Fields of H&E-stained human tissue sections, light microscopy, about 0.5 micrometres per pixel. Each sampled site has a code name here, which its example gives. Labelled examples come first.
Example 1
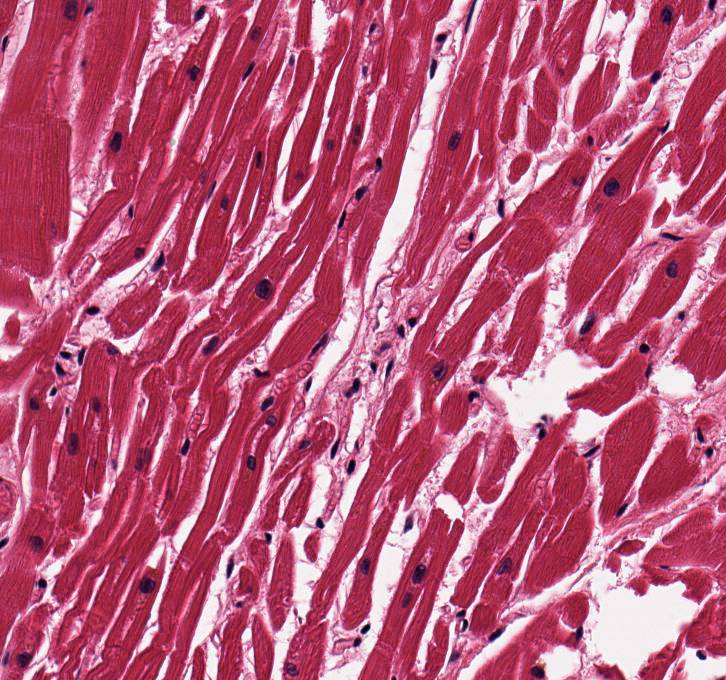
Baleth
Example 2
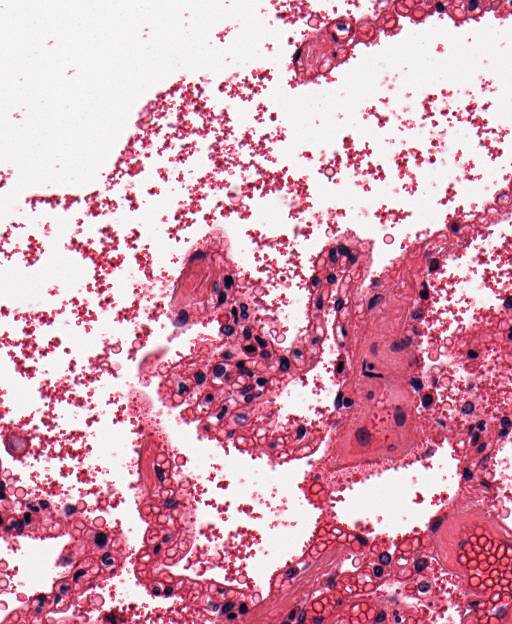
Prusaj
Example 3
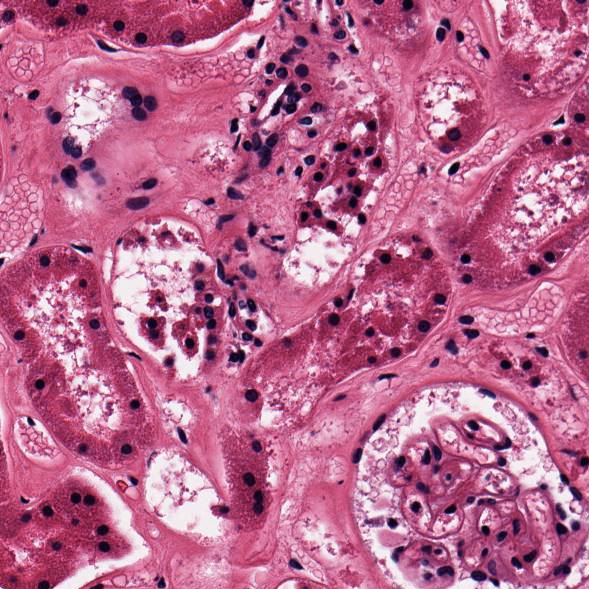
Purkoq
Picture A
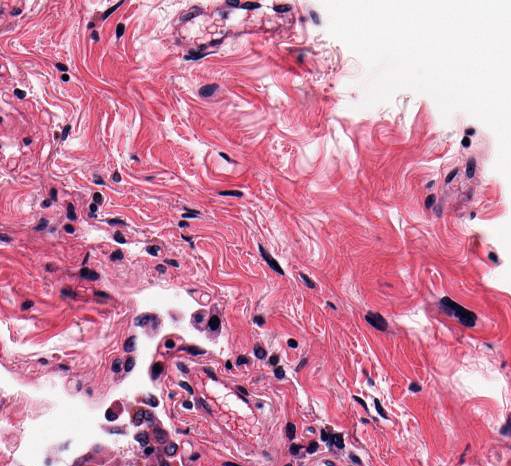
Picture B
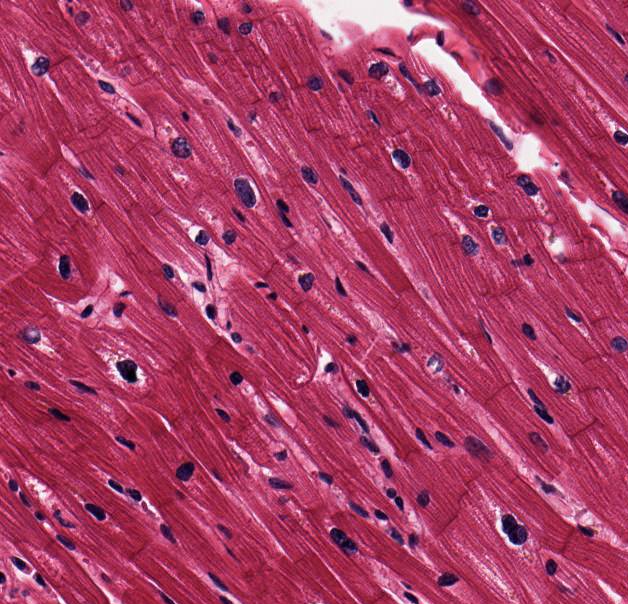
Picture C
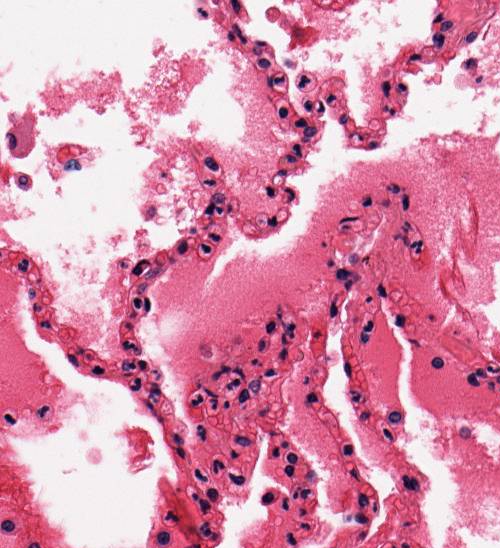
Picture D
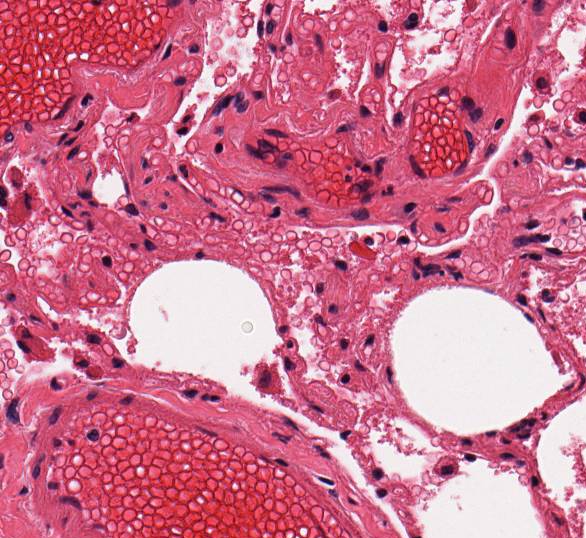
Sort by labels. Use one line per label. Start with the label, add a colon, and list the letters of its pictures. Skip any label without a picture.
Baleth: B
Prusaj: A, C, D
